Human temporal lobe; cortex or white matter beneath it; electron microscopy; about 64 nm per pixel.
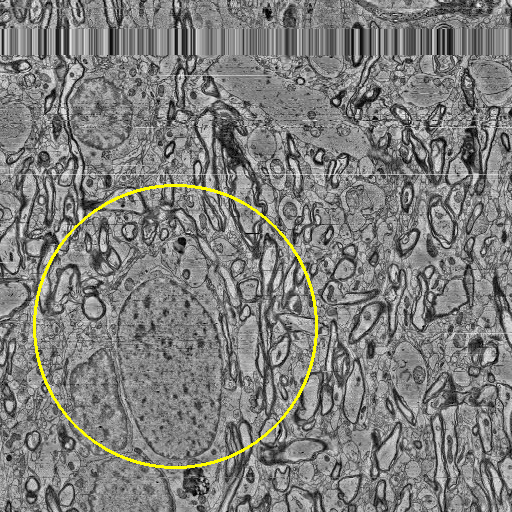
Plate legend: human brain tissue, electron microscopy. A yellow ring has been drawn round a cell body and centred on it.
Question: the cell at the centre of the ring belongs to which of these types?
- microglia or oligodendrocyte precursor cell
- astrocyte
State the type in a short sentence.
The cell in the middle of the ring is an astrocyte.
